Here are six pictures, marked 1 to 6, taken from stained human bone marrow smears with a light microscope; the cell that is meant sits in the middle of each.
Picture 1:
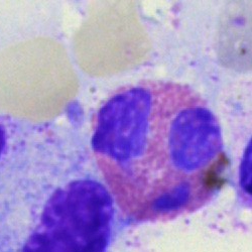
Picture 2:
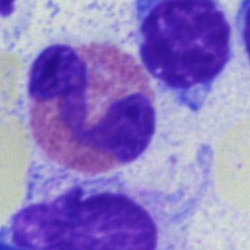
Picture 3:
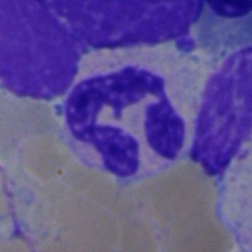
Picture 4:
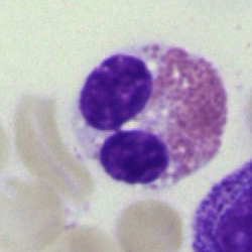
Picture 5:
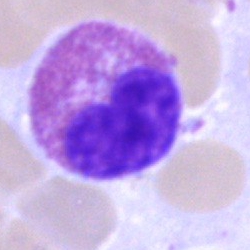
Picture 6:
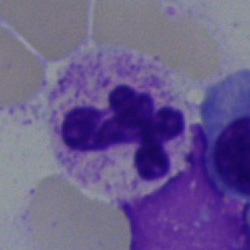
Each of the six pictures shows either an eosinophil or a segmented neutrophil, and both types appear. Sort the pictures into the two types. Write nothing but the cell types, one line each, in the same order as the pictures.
eosinophil
eosinophil
segmented neutrophil
eosinophil
eosinophil
segmented neutrophil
